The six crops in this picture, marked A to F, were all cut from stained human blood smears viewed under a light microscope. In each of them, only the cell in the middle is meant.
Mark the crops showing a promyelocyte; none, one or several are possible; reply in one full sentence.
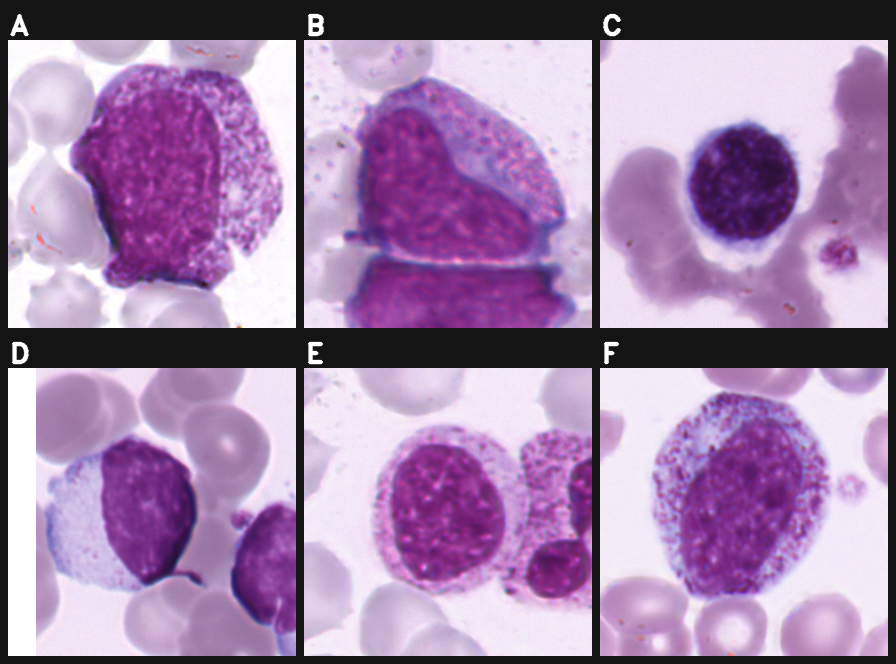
The crops labelled A, B and F show promyelocytes at the centre.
